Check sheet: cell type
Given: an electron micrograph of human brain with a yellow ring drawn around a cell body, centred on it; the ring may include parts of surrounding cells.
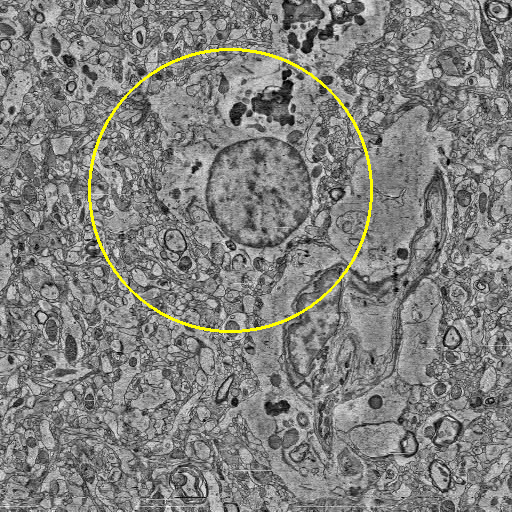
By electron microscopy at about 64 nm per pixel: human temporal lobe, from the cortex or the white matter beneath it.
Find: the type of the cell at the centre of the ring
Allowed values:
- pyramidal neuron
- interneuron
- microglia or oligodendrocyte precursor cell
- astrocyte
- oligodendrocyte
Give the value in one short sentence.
Here the ringed cell is an astrocyte.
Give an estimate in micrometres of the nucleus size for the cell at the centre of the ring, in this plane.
The nucleus is about 7 micrometres across in this plane.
